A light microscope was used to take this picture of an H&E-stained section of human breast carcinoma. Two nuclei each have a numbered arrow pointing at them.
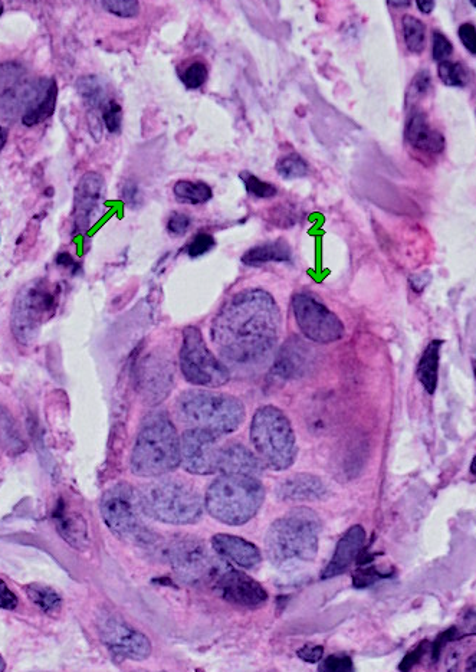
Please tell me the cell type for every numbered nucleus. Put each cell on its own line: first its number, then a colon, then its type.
1: macrophage, monocyte or dendritic cell
2: carcinoma cell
